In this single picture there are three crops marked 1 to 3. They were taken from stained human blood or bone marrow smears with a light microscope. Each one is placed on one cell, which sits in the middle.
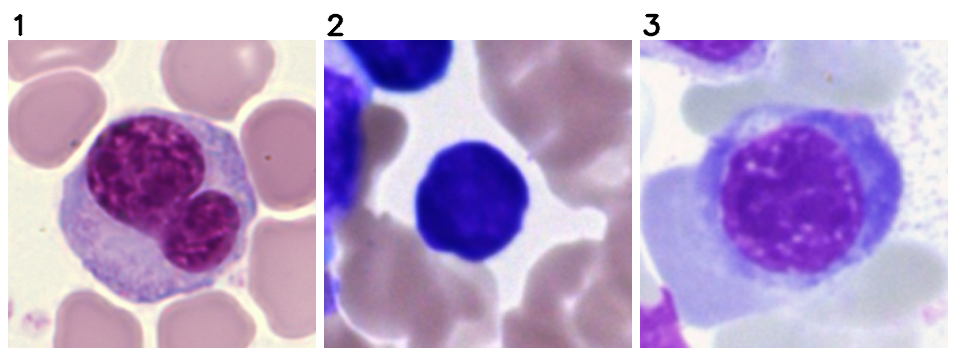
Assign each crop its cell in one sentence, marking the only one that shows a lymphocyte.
The cell of interest in crop 2 is a lymphocyte, and crop 1 is a plasma cell and crop 3 is a normoblast.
